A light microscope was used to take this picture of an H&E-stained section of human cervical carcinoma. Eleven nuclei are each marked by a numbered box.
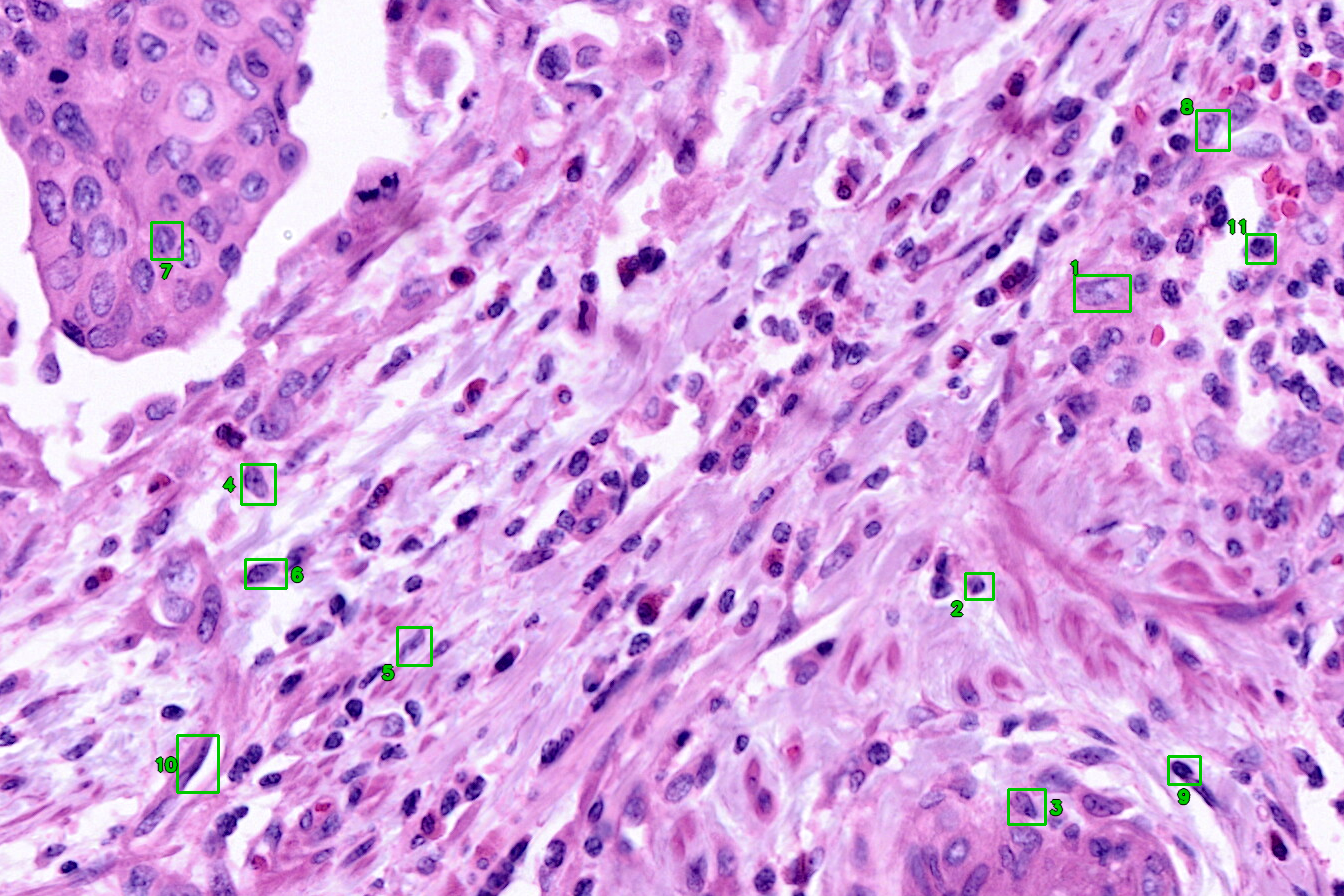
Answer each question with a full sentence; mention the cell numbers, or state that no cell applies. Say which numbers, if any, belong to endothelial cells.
The numbers 1, 8 and 10 mark cells that are endothelial cells.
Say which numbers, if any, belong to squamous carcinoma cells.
Cell 7 is a squamous carcinoma cell, and it is the only one.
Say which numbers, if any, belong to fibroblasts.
The cell marked by number 5 is a fibroblast; the other marked cells are not.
